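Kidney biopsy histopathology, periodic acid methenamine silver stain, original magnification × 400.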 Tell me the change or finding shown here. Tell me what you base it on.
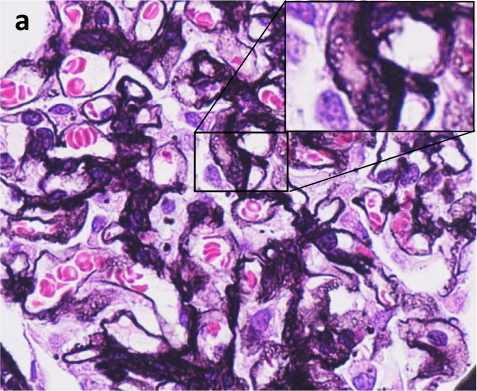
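The enlarged inset shows a capillary wall with a rough, hole-studded, vacuolated look.
Diffuse bubbling appearance of glomerular basement membrane.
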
